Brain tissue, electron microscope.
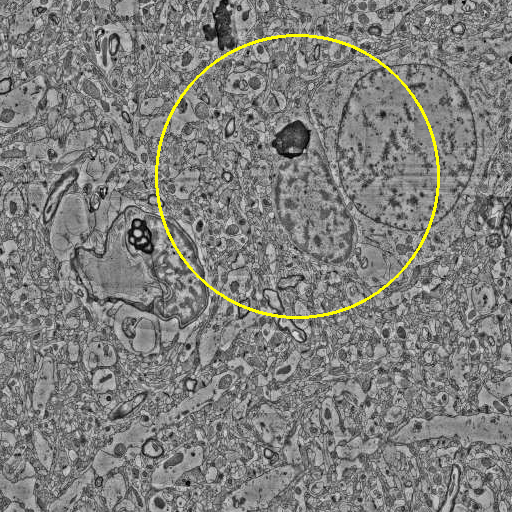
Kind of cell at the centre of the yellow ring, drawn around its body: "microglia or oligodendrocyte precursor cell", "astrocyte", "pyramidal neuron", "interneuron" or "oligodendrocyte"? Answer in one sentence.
The ring's centre falls on an oligodendrocyte.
